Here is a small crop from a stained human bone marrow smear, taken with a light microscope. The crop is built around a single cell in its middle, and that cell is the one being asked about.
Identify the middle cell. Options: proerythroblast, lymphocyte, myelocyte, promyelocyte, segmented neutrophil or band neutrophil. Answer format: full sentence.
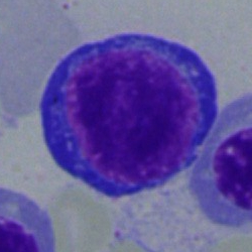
The crop shows a proerythroblast in its centre.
